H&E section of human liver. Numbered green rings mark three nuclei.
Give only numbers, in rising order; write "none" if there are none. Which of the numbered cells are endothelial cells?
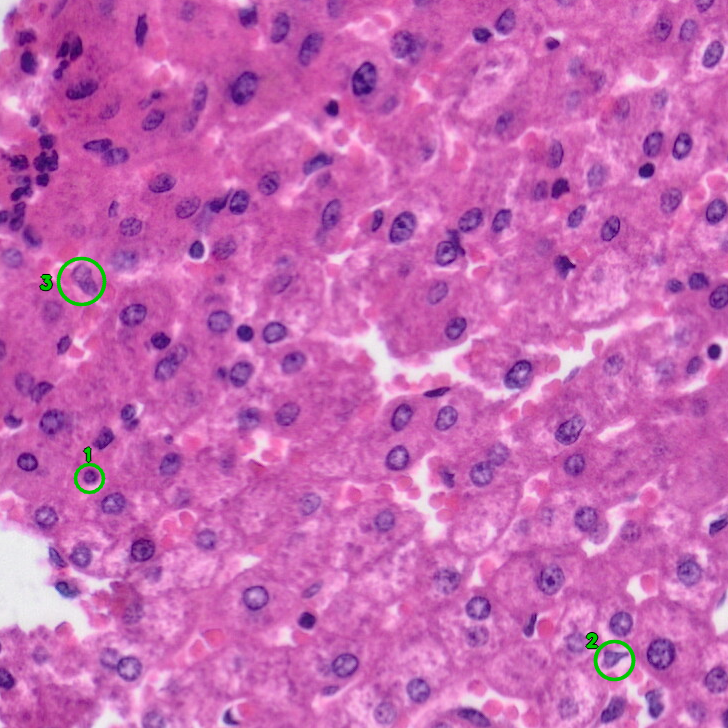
2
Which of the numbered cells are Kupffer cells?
3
